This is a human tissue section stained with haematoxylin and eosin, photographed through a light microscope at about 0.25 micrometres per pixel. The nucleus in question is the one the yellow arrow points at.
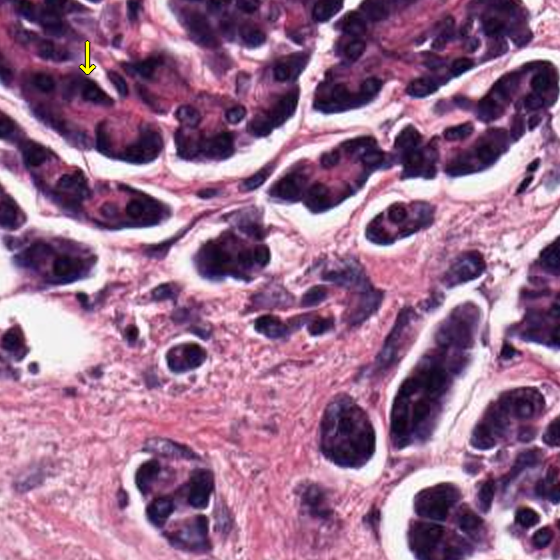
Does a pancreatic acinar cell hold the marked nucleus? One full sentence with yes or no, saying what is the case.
Yes, it is within a pancreatic acinar cell that the marked nucleus lies.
